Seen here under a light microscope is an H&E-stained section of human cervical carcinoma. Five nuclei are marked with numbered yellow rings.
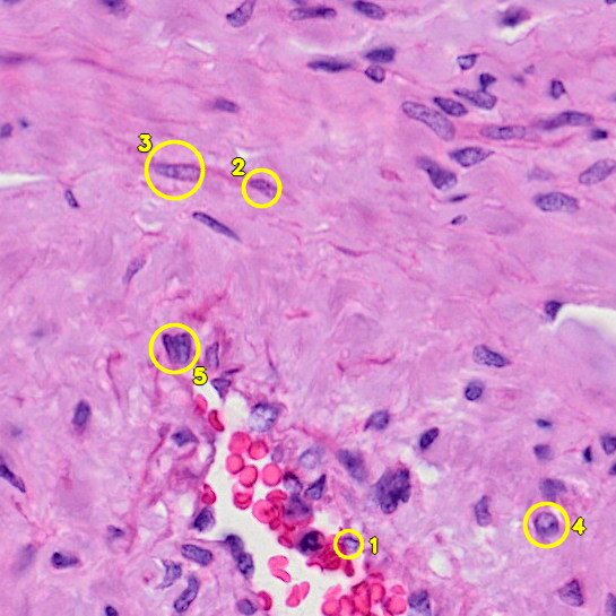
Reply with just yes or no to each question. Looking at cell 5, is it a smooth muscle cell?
no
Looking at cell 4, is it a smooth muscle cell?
no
